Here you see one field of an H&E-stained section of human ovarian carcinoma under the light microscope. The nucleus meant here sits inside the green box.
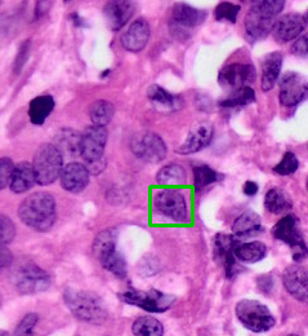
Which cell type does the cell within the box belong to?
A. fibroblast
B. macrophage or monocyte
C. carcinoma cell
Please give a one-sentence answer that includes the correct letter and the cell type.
Option C is the correct one, since the cell within the box is a carcinoma cell.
